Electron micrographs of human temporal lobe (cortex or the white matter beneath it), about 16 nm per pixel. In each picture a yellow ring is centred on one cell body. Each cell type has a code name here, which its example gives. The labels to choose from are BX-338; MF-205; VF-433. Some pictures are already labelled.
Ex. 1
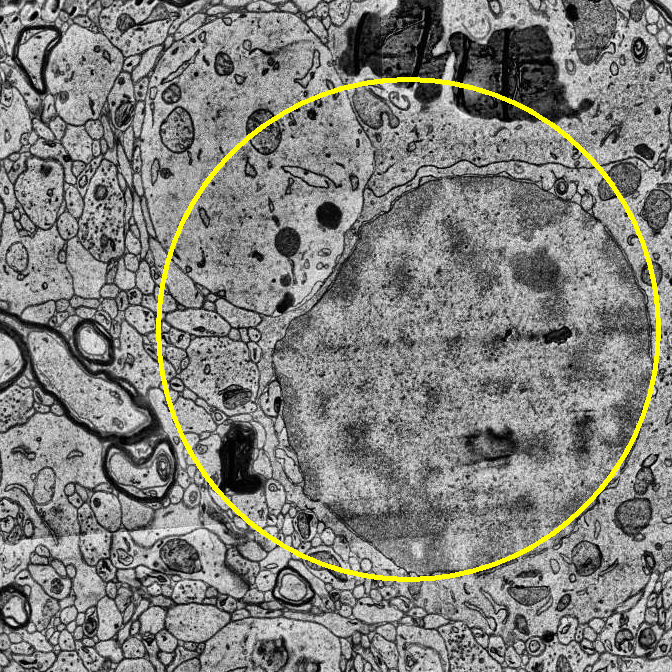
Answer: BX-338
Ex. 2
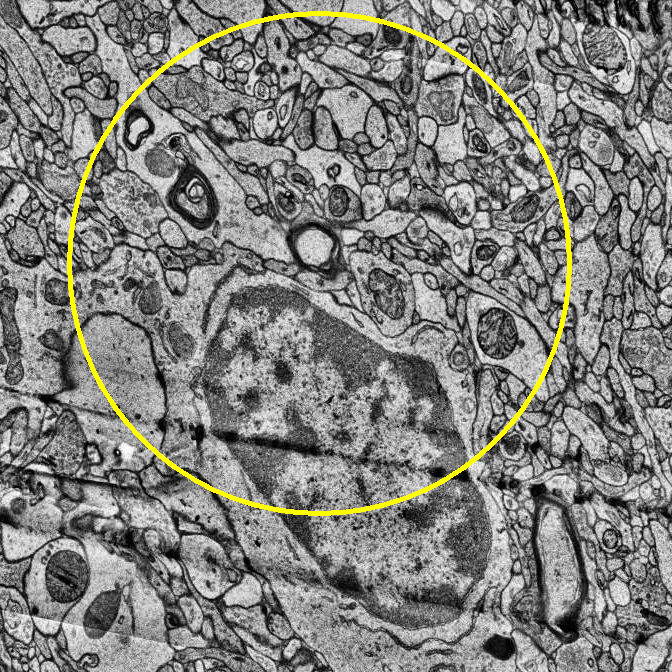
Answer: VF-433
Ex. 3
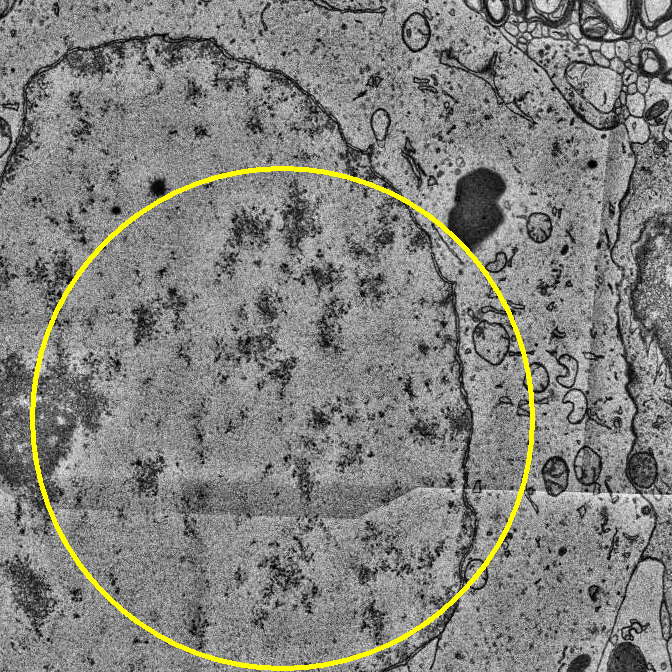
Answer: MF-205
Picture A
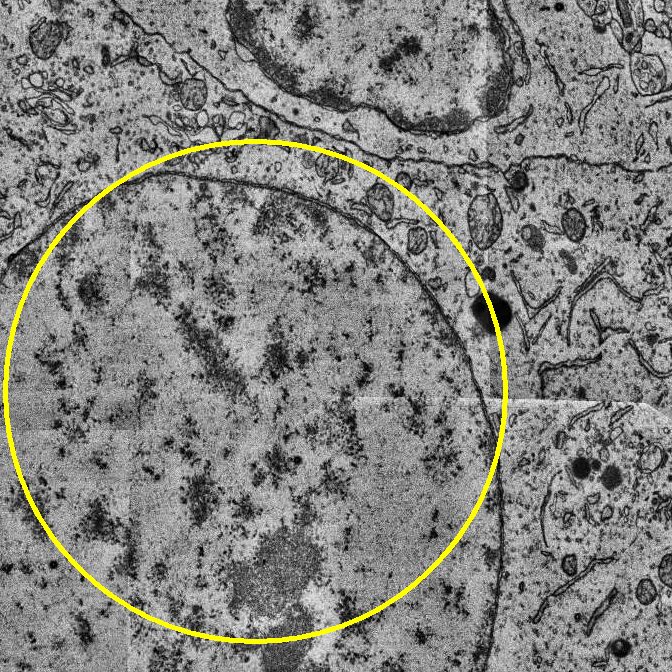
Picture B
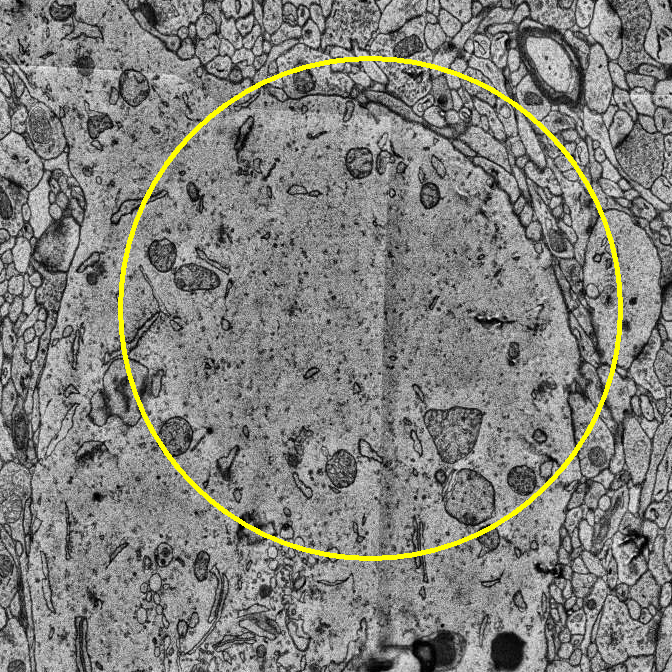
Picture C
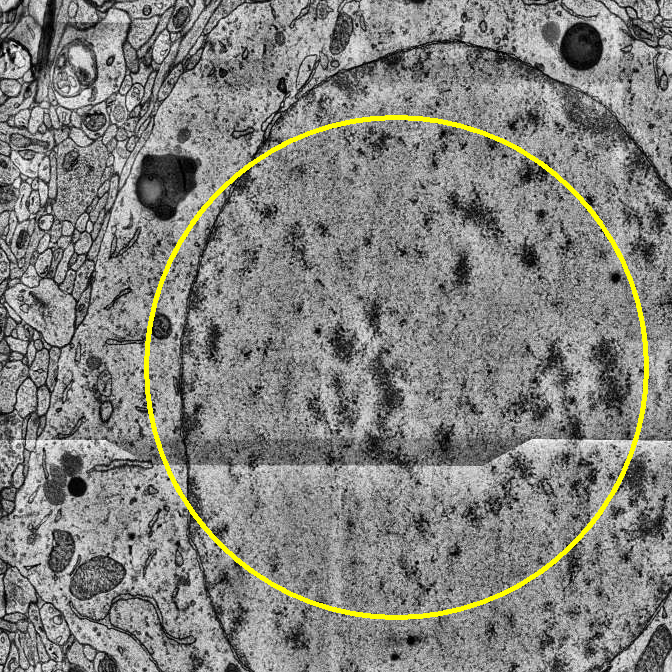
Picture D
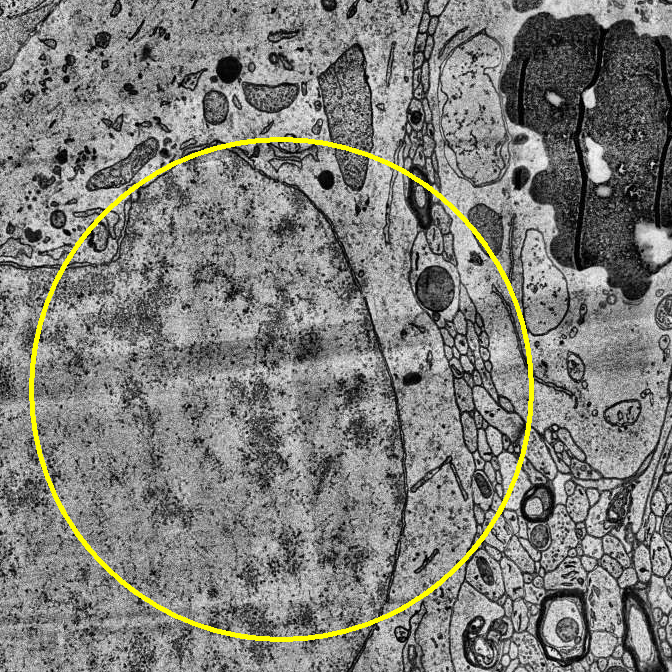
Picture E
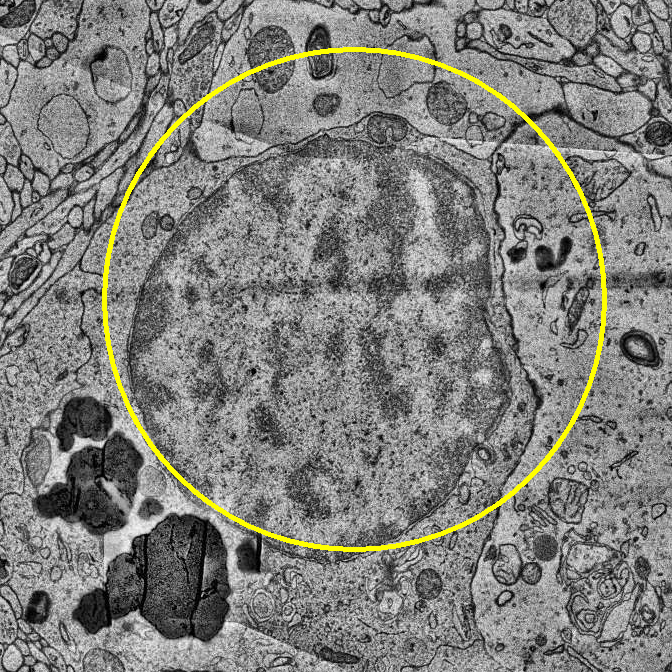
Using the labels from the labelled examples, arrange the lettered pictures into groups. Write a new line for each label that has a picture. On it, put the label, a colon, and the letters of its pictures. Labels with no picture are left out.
BX-338: E
MF-205: A, B, C, D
